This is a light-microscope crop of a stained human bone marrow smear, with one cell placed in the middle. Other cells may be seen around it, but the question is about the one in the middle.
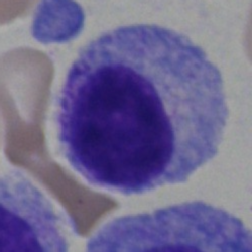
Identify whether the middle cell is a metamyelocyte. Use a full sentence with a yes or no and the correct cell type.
No, the cell found centrally in the crop is a myelocyte, not a metamyelocyte.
